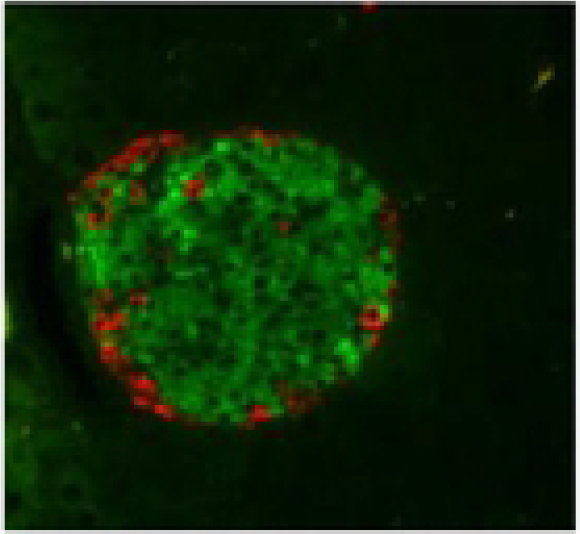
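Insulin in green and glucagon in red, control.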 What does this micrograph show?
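This is a pancreatic islet, seen as a compact, roughly round cluster of endocrine cells set in darker surrounding tissue. Only a few red cells are scattered inside the core. The outline of the islet is smooth and sharply set off from the tissue around it.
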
